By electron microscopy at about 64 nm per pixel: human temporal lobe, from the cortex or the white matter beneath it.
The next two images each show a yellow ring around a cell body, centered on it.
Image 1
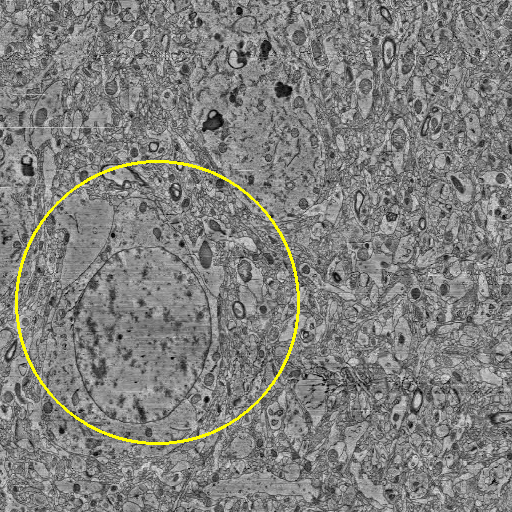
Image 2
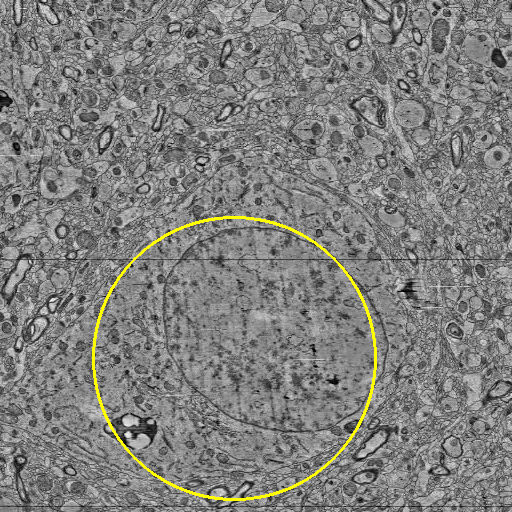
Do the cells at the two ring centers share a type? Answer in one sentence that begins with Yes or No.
Yes, across the two images the cells at the ring centers share one type.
